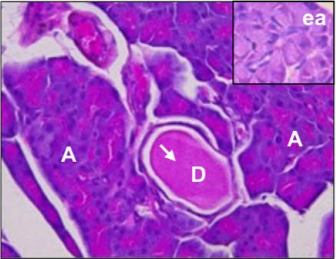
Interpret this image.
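This section of pancreas shows a large duct cut across in the middle of lobules of acini. The duct has a thin wall of flattened cells with a thin rim of pale connective tissue around it. Its lumen is filled with smooth homogeneous pink material, a plug in the duct. Around it the acinar cells form closely packed clusters of magenta cells with small dark nuclei. Narrow pale septa separate the lobules.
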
